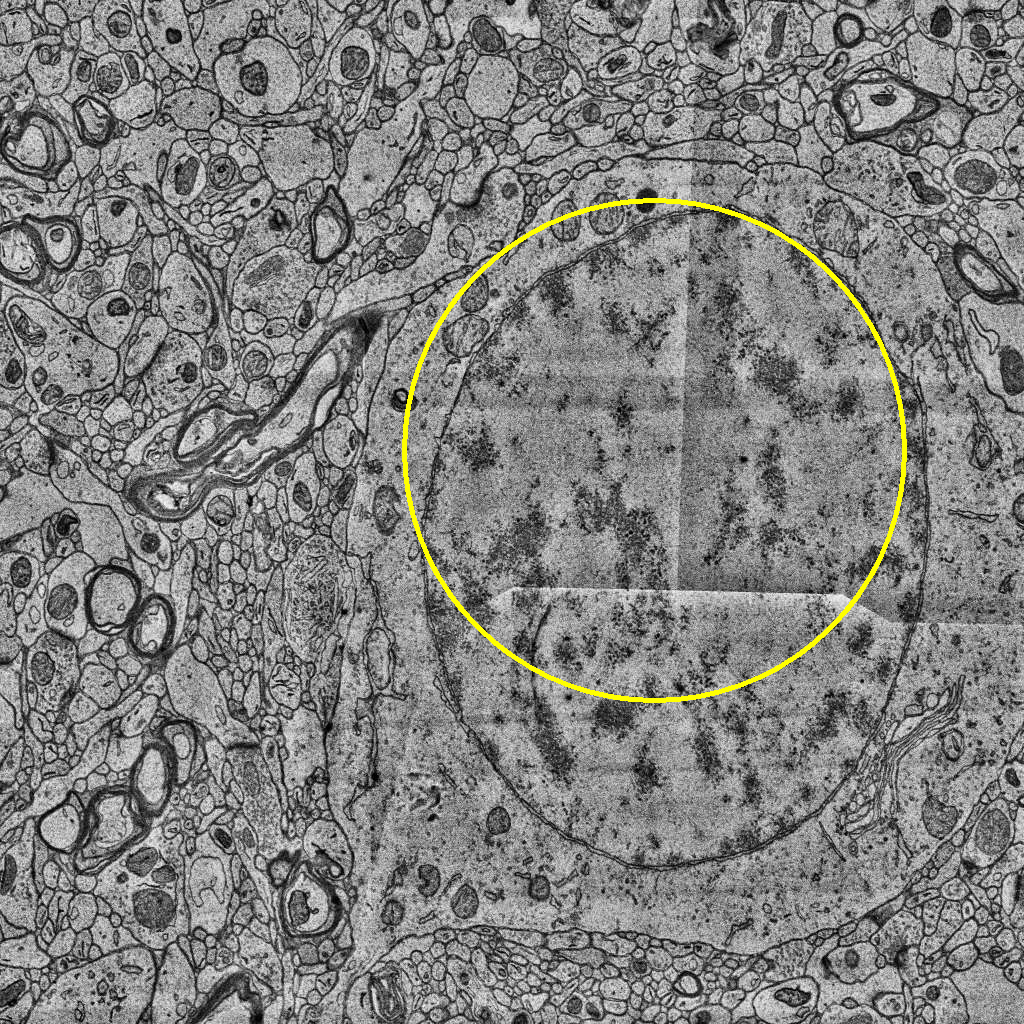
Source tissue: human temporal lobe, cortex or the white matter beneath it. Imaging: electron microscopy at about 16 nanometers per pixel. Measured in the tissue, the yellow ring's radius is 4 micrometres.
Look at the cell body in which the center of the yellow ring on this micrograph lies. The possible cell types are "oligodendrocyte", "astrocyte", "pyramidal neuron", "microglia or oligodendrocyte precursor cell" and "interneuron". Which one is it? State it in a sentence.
The cell at the middle of the ring is a pyramidal neuron.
